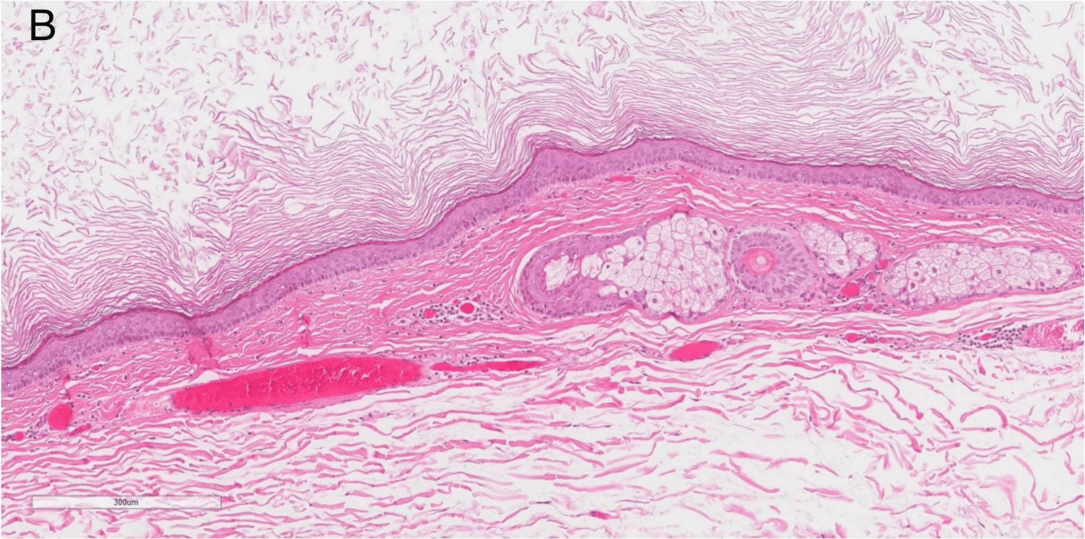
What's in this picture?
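This is the wall of a cyst lined by keratinizing stratified squamous epithelium. The lining is thin, a few layers of cells with purple nuclei, flattening toward the surface, and above it lies a thick mass of laminated, wavy pink keratin without nuclei, filling the lumen. Beneath the epithelium is pink collagenous connective tissue with a few small blood vessels packed with red cells and scattered small dark inflammatory or stromal nuclei. Embedded in the wall are sebaceous lobules made of large pale cells with foamy, bubbly cytoplasm, and between them a hair follicle cut across, showing concentric epithelial layers around a pink core.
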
